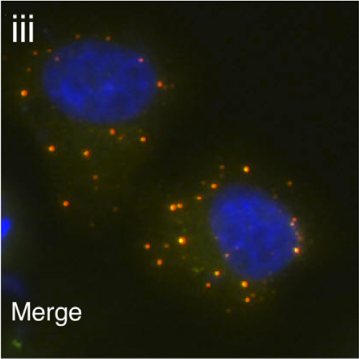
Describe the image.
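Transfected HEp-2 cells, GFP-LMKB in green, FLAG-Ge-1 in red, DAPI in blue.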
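Two cells each have a large oval blue nucleus, surrounded by many small round dots in the cytoplasm that appear orange to yellow where green and red overlap. The dots are discrete, of varying size and scattered around the nucleus.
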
